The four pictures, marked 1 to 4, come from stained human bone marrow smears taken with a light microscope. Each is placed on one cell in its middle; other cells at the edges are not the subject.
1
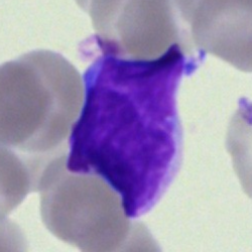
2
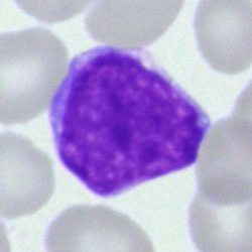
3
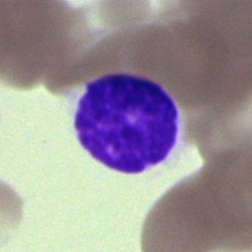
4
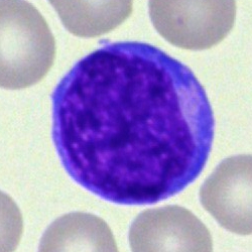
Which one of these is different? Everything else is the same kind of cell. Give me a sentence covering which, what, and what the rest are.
What sets crop 3 apart is that it shows a lymphocyte, while the others show blasts.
